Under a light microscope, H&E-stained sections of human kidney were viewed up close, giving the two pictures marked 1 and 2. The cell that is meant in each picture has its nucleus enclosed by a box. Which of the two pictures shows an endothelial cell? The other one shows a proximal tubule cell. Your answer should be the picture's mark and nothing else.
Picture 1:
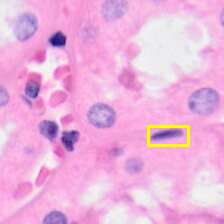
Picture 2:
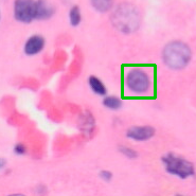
1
